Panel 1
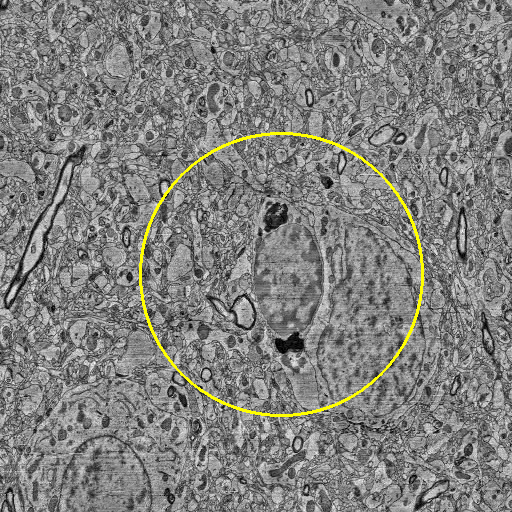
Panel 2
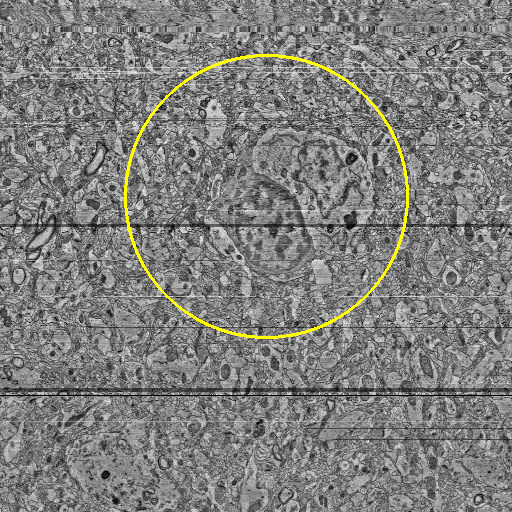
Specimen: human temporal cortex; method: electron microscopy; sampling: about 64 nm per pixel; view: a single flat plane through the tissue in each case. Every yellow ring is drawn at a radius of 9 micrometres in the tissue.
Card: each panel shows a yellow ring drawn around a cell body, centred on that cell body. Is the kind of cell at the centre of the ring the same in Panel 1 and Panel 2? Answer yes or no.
yes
